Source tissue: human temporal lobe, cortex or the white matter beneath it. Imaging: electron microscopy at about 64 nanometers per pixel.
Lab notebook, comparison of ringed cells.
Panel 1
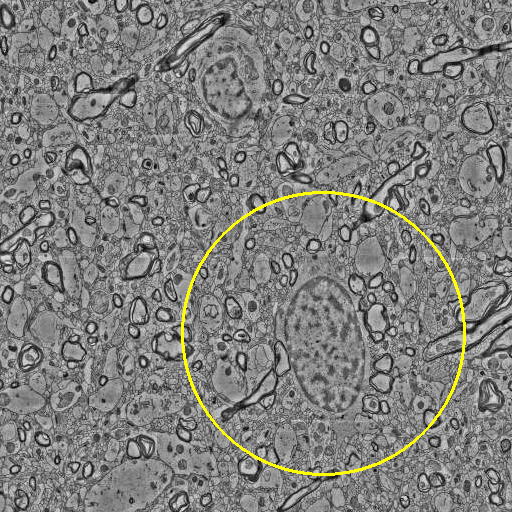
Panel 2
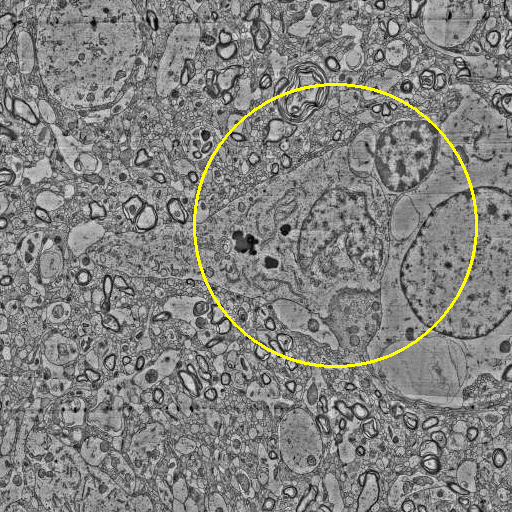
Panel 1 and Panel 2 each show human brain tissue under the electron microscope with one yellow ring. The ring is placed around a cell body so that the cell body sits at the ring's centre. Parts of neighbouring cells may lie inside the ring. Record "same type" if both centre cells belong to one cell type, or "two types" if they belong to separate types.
two types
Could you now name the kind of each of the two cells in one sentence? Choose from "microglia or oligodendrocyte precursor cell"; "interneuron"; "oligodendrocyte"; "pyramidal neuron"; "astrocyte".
The first ring encloses an oligodendrocyte; the second ring encloses an interneuron.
